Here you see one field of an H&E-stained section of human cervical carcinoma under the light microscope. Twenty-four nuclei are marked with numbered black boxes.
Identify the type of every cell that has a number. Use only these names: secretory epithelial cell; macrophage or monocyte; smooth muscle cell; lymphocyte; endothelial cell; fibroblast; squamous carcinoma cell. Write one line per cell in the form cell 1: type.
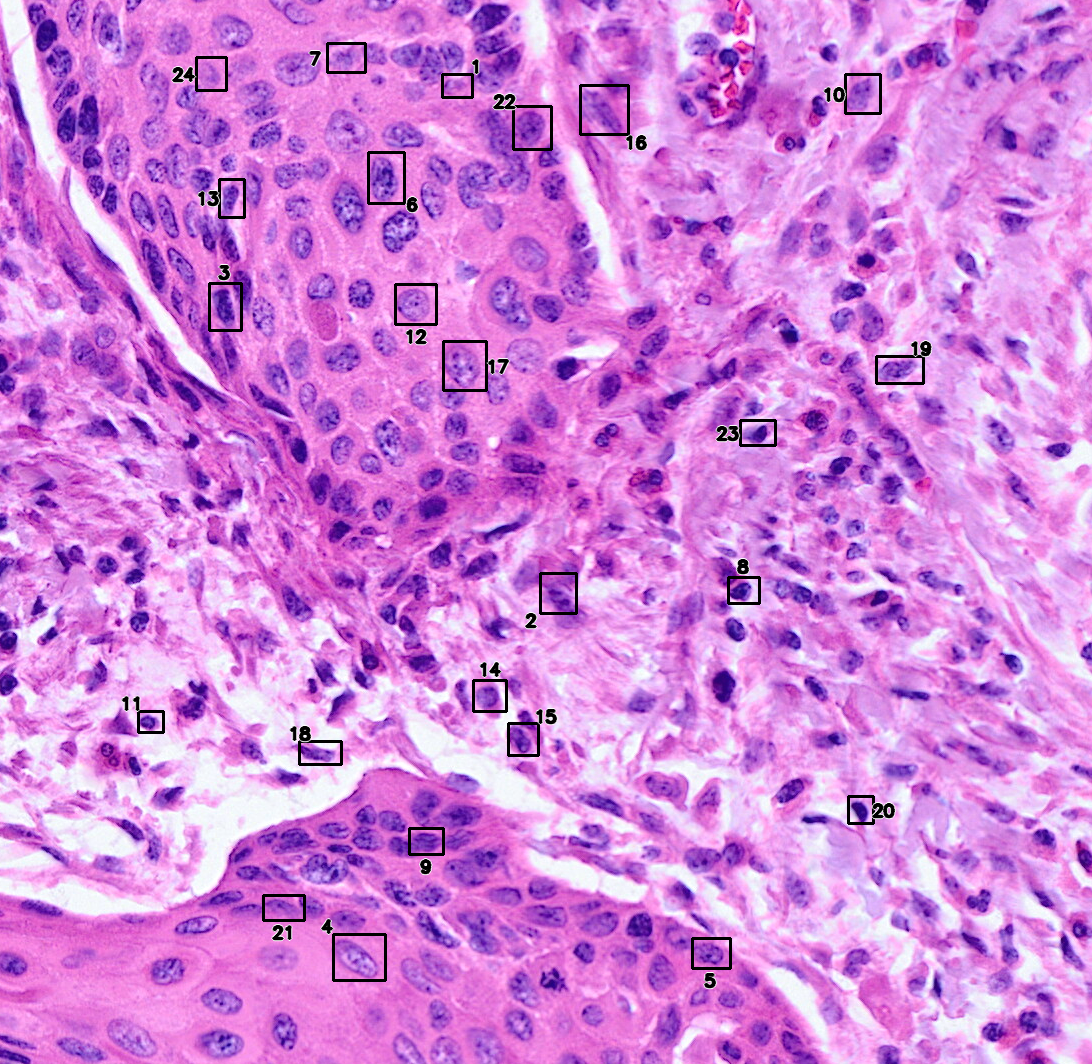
cell 1: squamous carcinoma cell
cell 2: fibroblast
cell 3: squamous carcinoma cell
cell 4: squamous carcinoma cell
cell 5: squamous carcinoma cell
cell 6: squamous carcinoma cell
cell 7: squamous carcinoma cell
cell 8: lymphocyte
cell 9: squamous carcinoma cell
cell 10: macrophage or monocyte
cell 11: lymphocyte
cell 12: squamous carcinoma cell
cell 13: squamous carcinoma cell
cell 14: macrophage or monocyte
cell 15: macrophage or monocyte
cell 16: fibroblast
cell 17: squamous carcinoma cell
cell 18: fibroblast
cell 19: macrophage or monocyte
cell 20: lymphocyte
cell 21: squamous carcinoma cell
cell 22: squamous carcinoma cell
cell 23: lymphocyte
cell 24: squamous carcinoma cell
